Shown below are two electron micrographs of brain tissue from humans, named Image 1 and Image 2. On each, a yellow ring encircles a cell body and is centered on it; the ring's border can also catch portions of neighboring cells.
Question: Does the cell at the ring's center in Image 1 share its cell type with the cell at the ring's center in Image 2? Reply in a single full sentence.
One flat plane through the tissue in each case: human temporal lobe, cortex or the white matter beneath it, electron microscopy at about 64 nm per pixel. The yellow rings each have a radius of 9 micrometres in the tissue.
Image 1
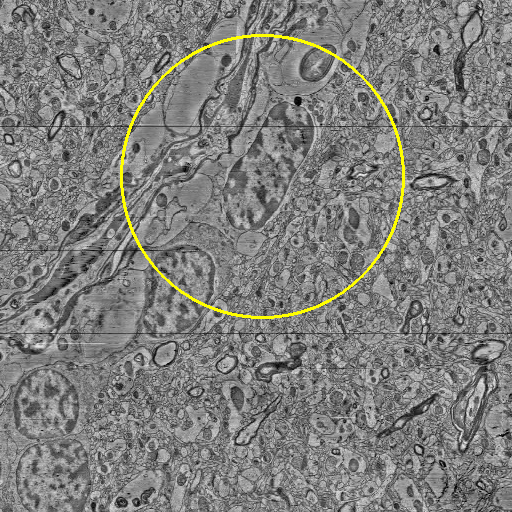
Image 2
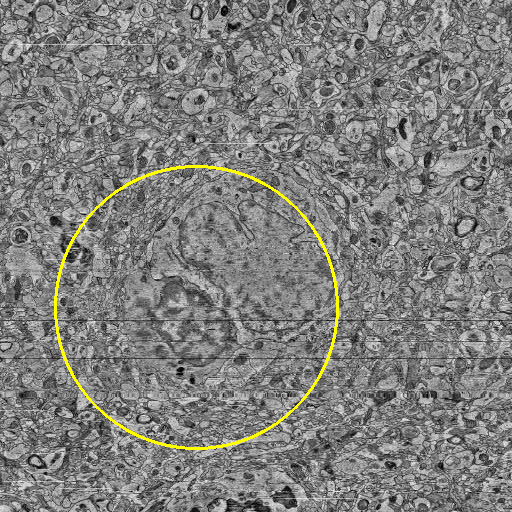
No, the two cells at the ring centers, in Image 1 and Image 2, are of two cell types.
